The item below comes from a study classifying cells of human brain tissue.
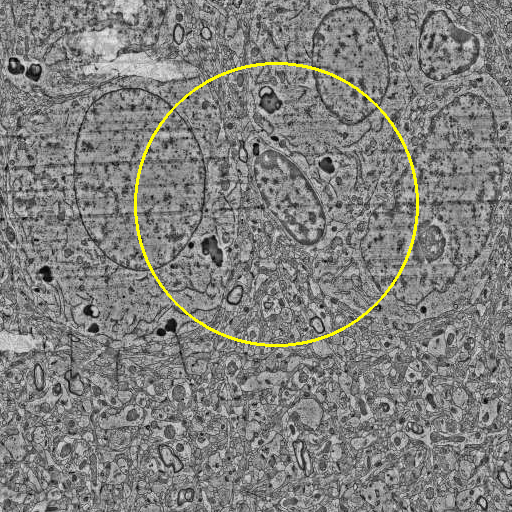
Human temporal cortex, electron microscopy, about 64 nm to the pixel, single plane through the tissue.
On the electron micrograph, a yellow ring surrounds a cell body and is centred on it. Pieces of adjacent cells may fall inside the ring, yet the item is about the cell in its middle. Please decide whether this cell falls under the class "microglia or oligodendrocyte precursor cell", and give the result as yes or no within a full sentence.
Yes, the cell at the middle of the ring on the micrograph belongs in that class.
